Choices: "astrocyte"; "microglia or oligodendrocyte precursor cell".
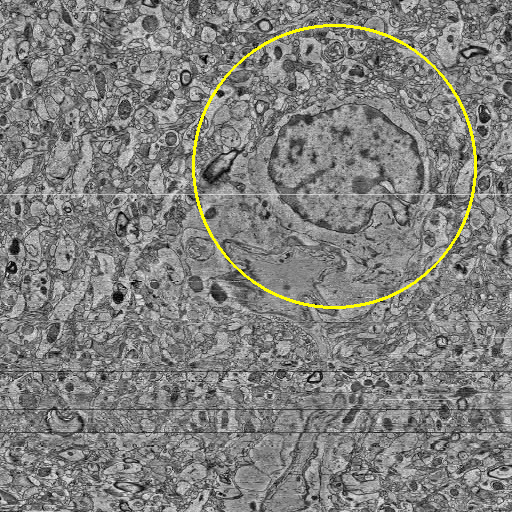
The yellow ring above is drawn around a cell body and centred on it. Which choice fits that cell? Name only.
microglia or oligodendrocyte precursor cell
